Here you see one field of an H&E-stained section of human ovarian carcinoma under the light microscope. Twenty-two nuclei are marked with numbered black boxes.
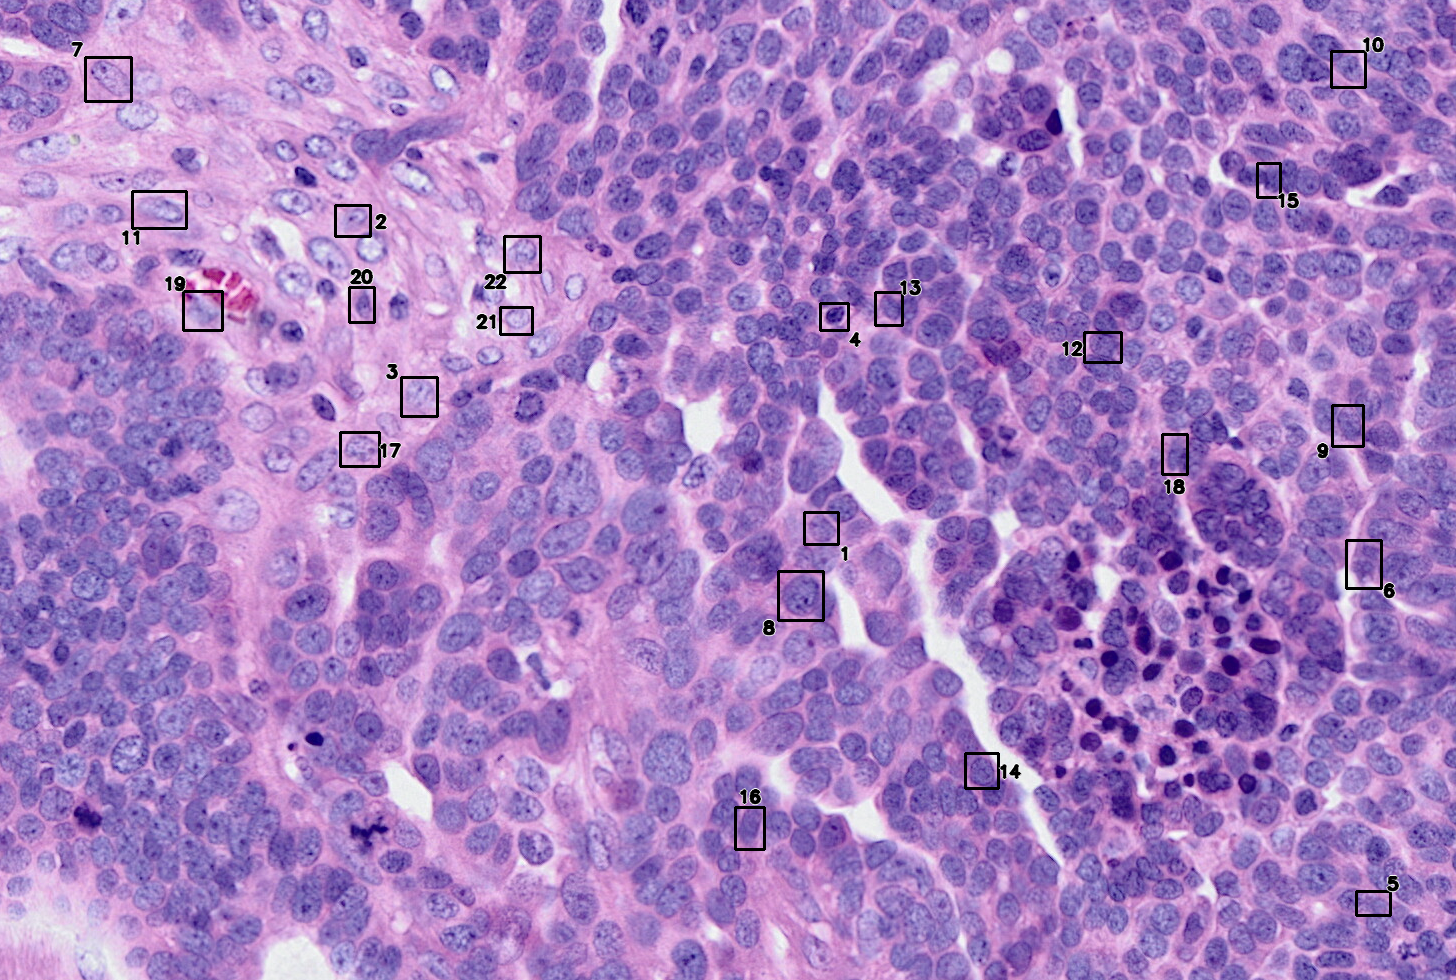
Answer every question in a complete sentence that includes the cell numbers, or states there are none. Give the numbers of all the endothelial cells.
Only at number 19 is there an endothelial cell.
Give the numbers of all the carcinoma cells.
The cells numbered 1, 5, 6, 8, 9, 10, 12, 13, 14, 15, 16 and 18 are of one kind: carcinoma cells.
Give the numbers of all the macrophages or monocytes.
The sole numbered cell that is a macrophage or monocyte is cell 20.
